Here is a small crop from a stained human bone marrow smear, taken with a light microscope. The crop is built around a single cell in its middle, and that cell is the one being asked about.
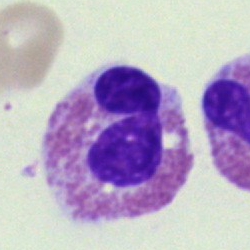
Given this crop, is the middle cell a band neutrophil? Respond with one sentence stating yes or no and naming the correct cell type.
No, it is an eosinophil rather than a band neutrophil that the middle of the crop contains.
